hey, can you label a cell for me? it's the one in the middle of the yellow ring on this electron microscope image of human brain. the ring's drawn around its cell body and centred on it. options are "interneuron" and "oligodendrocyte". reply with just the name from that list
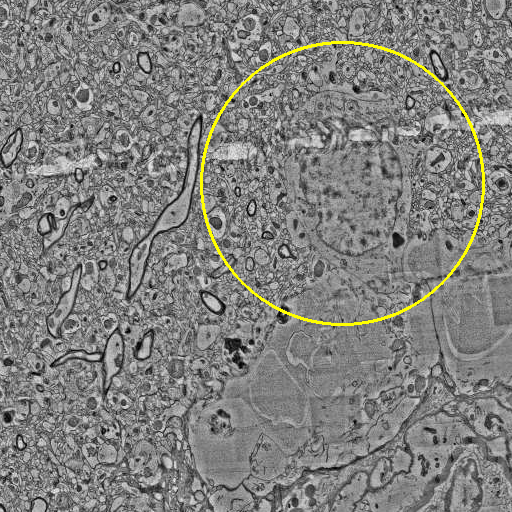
interneuron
